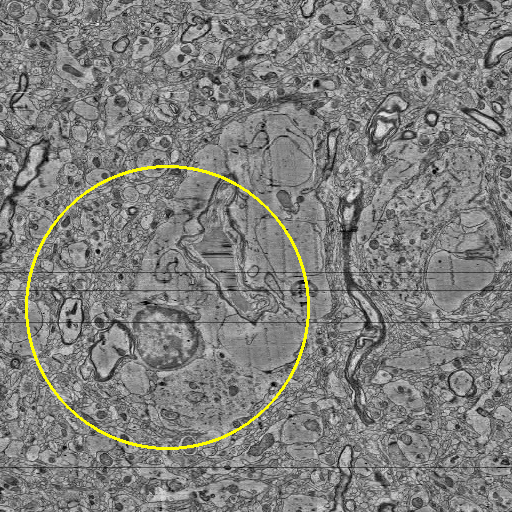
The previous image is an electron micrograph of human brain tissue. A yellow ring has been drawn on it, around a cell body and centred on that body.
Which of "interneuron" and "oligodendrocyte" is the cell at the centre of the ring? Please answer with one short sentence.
The cell body at the centre of the ring belongs to an oligodendrocyte.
